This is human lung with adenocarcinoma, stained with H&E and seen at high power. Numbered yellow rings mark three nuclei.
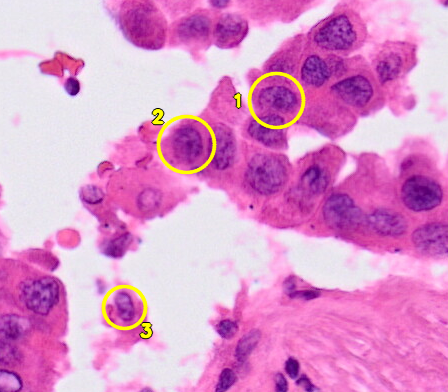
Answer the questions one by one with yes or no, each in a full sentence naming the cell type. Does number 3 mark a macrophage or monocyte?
Yes, the cell that the number 3 labels is a macrophage or monocyte.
